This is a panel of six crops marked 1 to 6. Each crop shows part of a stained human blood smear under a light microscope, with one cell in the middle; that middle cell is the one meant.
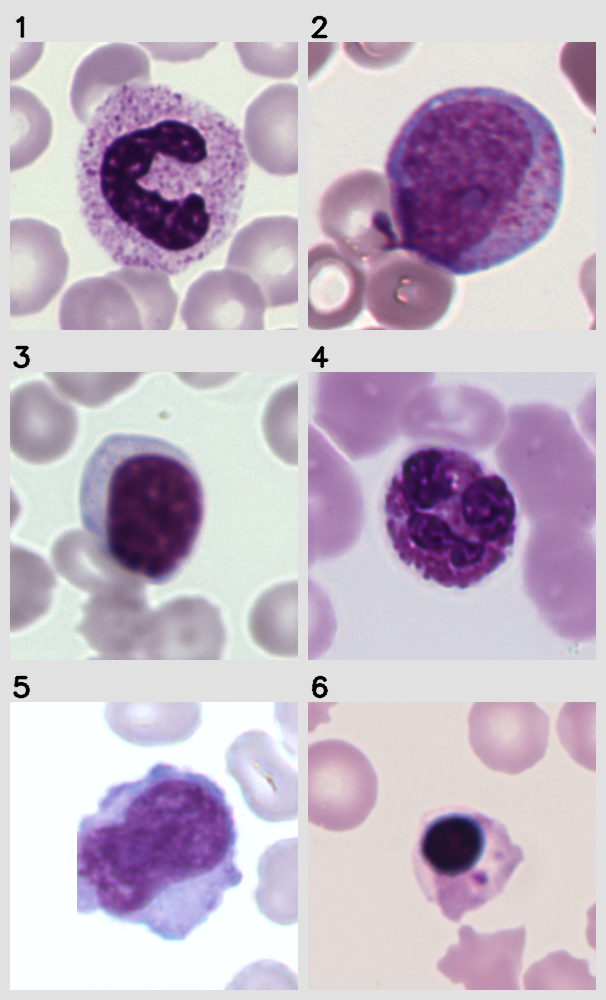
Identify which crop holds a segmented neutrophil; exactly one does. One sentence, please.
That would be crop 1; it shows a segmented neutrophil.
